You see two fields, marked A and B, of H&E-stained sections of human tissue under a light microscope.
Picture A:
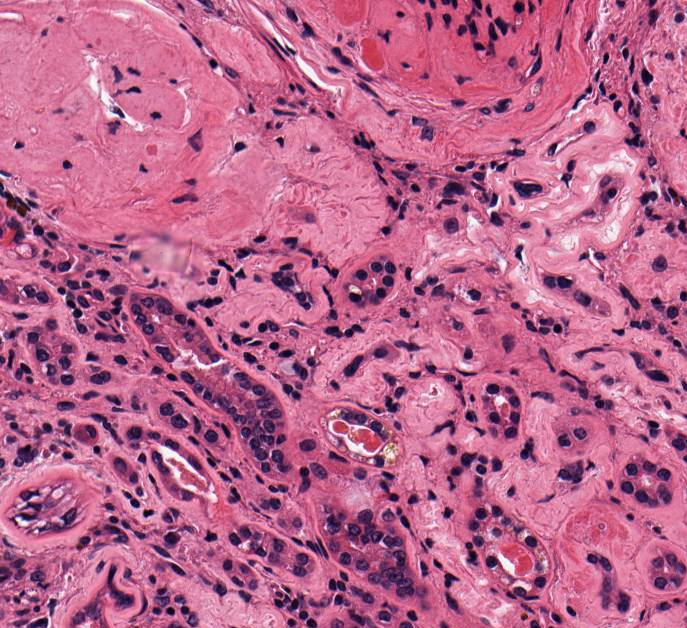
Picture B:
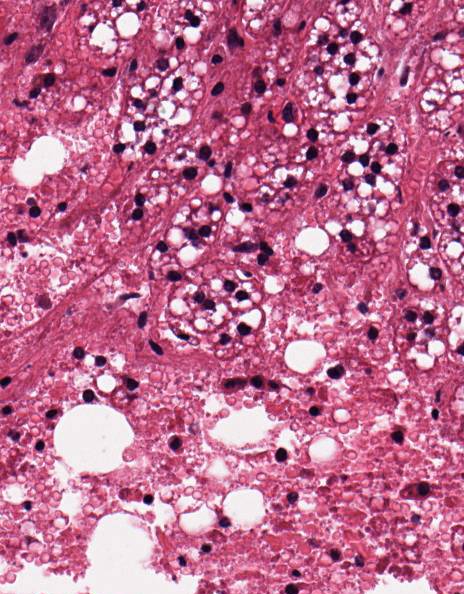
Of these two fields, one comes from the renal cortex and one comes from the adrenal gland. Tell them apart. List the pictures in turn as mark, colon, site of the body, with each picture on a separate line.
A: renal cortex
B: adrenal gland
